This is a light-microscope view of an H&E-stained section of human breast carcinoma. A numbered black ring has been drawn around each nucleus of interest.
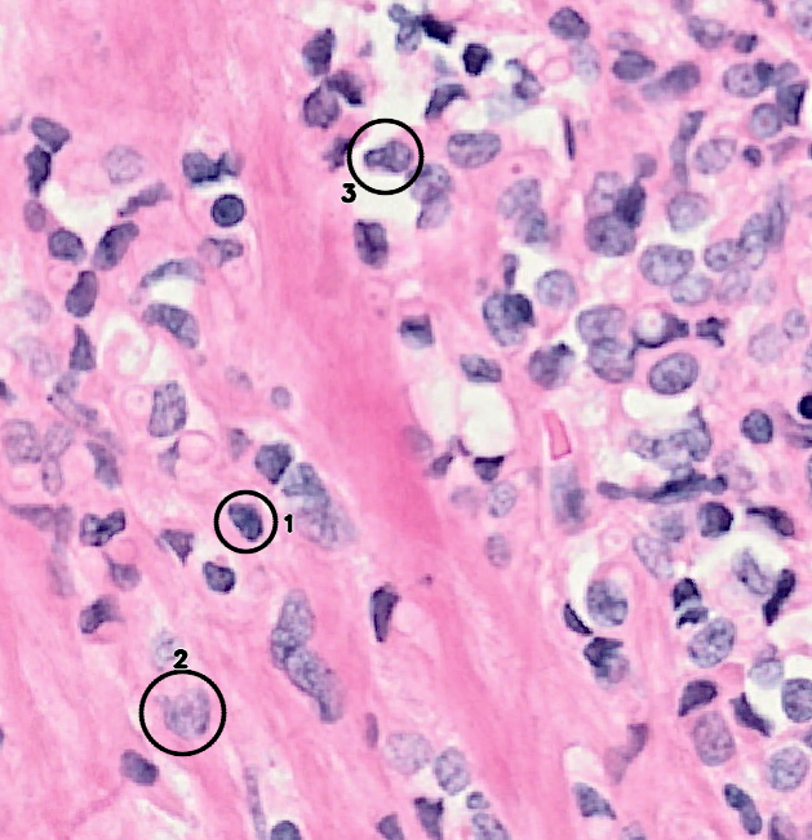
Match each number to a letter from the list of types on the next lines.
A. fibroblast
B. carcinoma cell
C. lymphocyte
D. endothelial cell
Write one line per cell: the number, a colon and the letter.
1: C
2: A
3: B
